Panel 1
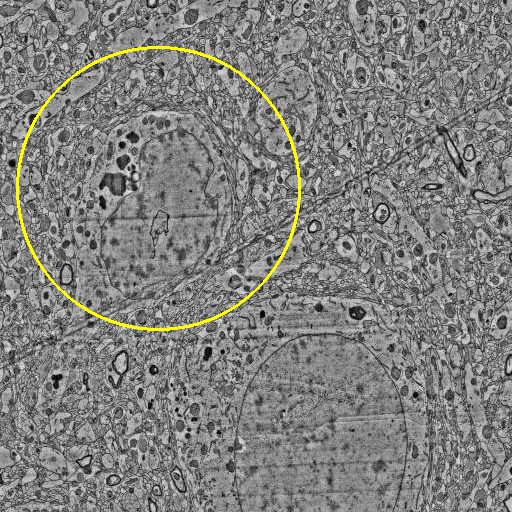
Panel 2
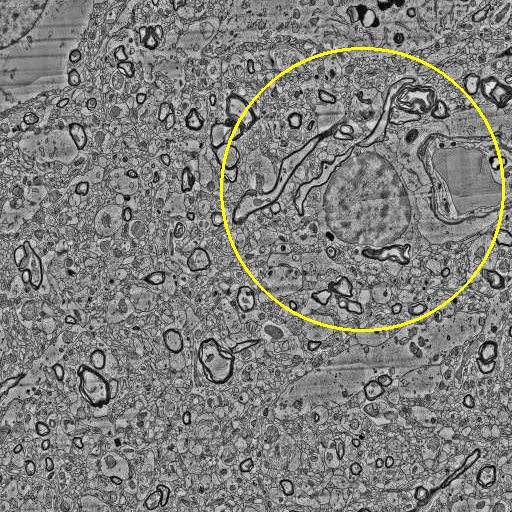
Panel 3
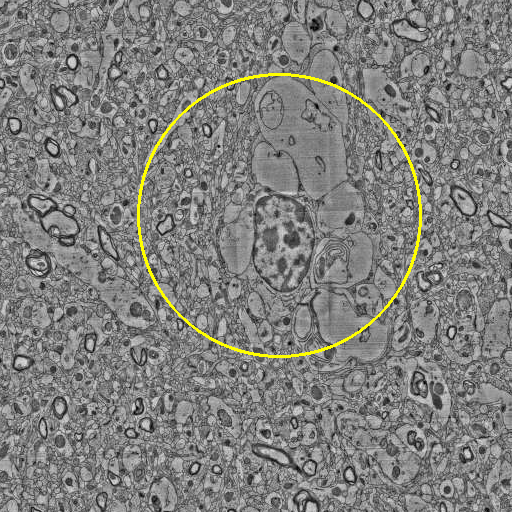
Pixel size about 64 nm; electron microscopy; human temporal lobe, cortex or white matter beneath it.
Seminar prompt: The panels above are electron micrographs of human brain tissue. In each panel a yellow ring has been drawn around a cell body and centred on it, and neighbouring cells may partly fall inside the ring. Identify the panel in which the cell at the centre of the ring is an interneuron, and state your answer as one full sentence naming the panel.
Panel 1 has it at the centre of its ring.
